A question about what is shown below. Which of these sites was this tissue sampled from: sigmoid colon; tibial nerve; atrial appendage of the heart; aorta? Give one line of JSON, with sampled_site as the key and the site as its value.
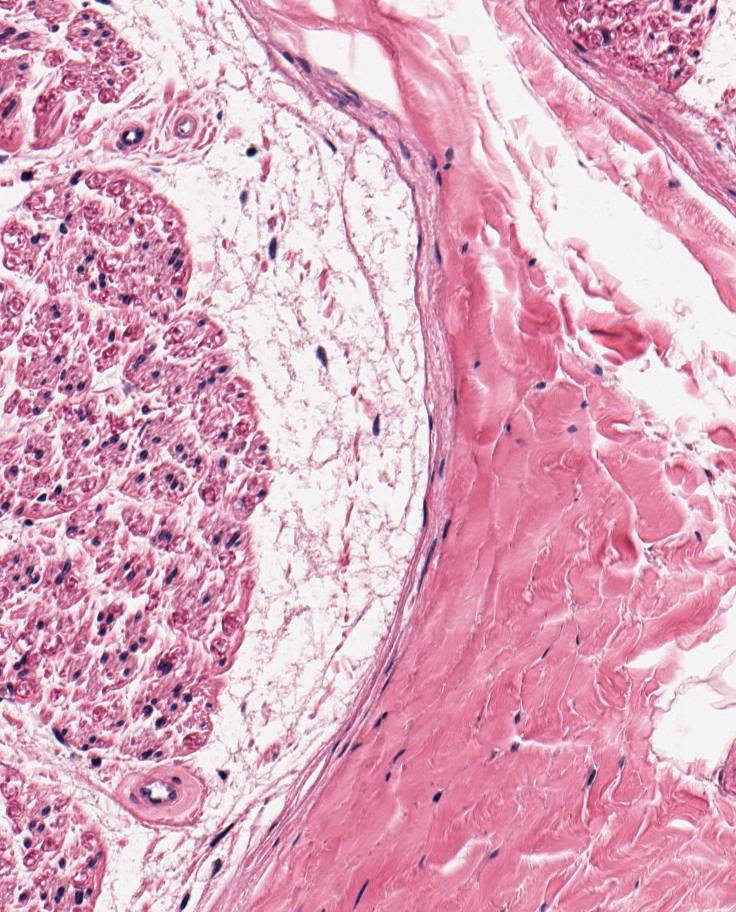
{"sampled_site": "tibial nerve"}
